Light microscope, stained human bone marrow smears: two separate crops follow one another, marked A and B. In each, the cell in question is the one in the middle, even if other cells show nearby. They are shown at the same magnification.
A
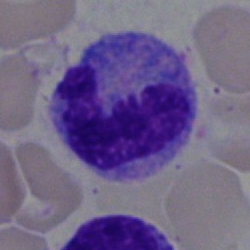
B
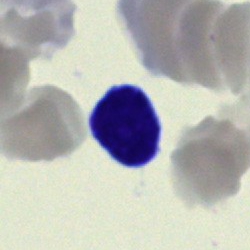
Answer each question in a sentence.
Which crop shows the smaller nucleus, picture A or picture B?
The nucleus in picture B is smaller; the one in picture A has about 2 times its area.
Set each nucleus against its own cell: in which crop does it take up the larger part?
In picture B the nucleus takes up the larger part of its cell.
